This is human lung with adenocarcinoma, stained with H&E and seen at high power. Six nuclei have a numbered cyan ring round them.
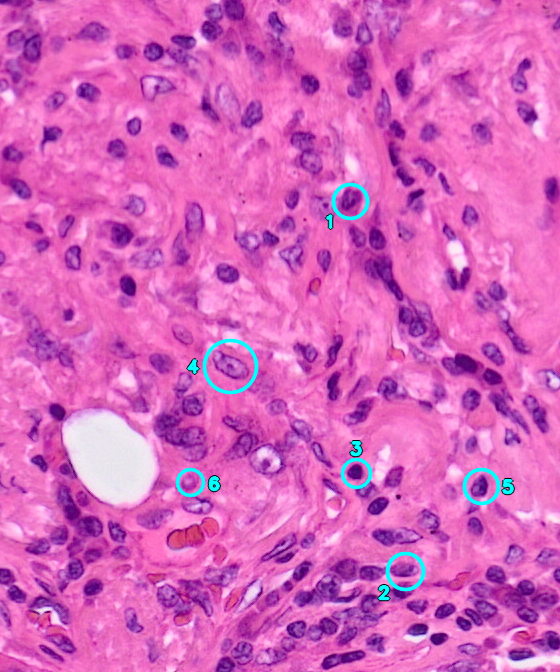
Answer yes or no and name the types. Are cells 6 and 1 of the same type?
No, cell 6 is categorized as a macrophage or monocyte, while cell 1 is categorized as a plasma cell.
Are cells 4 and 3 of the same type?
No, listen: cell 4 is a macrophage or monocyte and cell 3 is a lymphocyte.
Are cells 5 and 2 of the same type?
Yes: cells 5 and 2 are both lymphocytes.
